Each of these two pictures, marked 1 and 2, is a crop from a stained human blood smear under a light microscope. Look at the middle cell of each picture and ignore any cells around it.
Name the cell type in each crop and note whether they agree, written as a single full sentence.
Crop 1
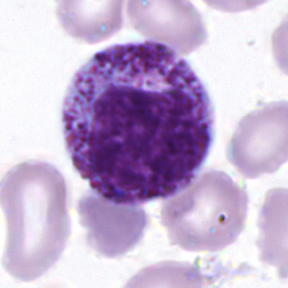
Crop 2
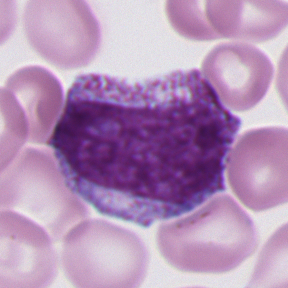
Yes, what both crops show is myelocytes.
